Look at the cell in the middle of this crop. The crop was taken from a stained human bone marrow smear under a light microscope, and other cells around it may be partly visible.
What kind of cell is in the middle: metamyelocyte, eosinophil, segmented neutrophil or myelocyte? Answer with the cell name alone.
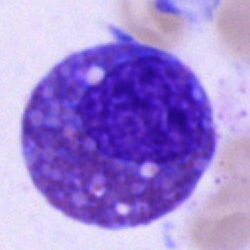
eosinophil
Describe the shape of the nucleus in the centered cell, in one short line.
The nucleus is one compact mass, round, oval or kidney-shaped in outline.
